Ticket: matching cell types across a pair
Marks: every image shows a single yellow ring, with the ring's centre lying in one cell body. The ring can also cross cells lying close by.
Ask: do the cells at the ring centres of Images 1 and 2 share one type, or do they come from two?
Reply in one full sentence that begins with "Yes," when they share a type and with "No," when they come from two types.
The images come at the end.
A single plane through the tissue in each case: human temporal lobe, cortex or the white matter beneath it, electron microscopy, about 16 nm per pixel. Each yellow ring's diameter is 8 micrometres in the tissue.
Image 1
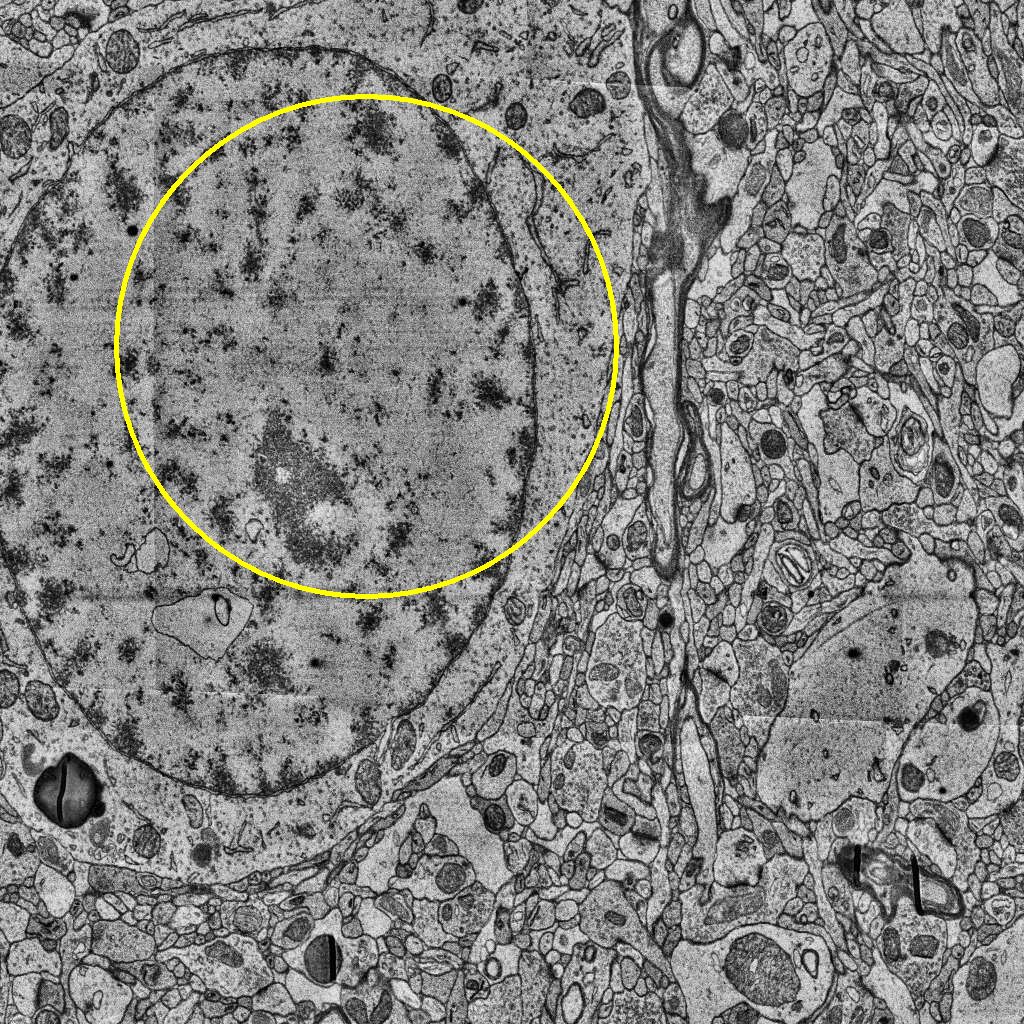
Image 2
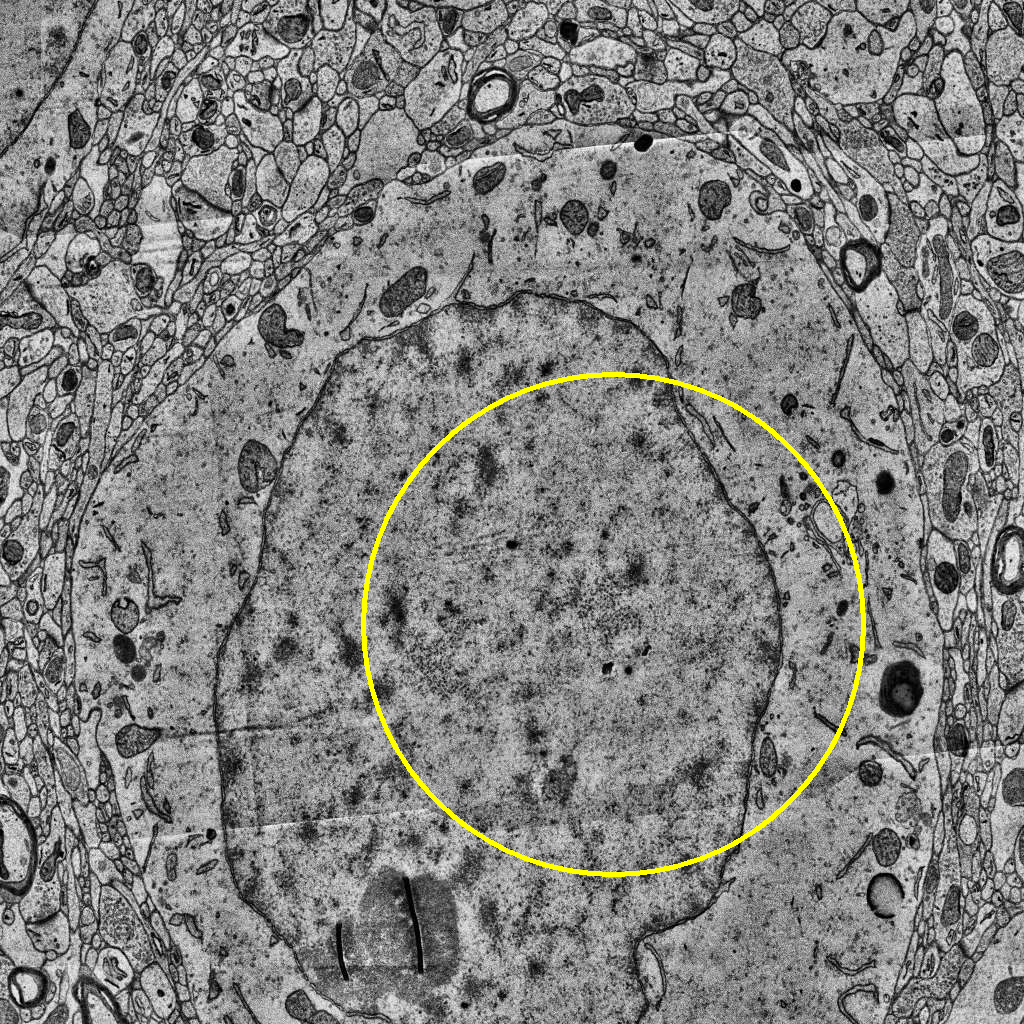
Yes, the cells at the centres of the rings in Image 1 and Image 2 share one type.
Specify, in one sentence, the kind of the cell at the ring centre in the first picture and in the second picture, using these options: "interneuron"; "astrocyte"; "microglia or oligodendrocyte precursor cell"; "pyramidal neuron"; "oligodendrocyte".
Each of the two cells is a pyramidal neuron.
